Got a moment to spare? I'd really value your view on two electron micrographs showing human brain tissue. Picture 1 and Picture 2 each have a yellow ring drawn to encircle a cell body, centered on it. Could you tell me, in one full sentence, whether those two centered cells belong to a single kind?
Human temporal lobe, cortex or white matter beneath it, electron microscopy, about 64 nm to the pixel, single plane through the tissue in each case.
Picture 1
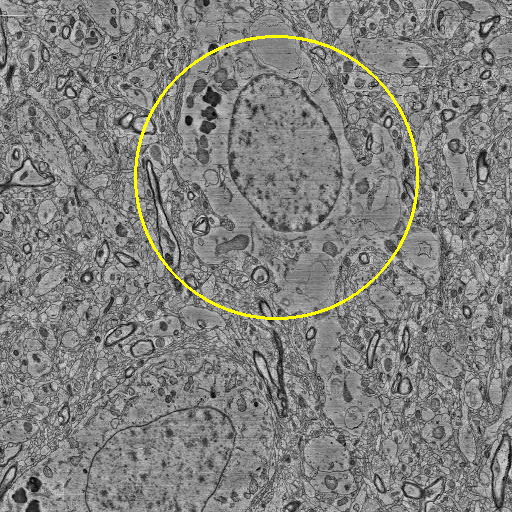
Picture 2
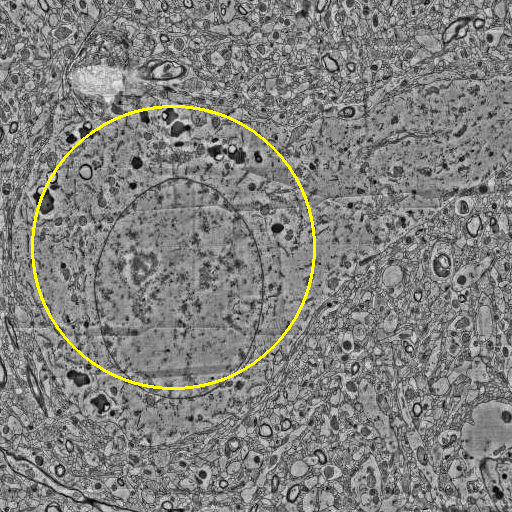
No, the two centered cells in Picture 1 and Picture 2 are of two kinds.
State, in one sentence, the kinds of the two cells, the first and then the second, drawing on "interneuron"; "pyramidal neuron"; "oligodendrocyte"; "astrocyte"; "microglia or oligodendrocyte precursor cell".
The ring in the second picture is centred on a pyramidal neuron, the ring in the first on an astrocyte.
